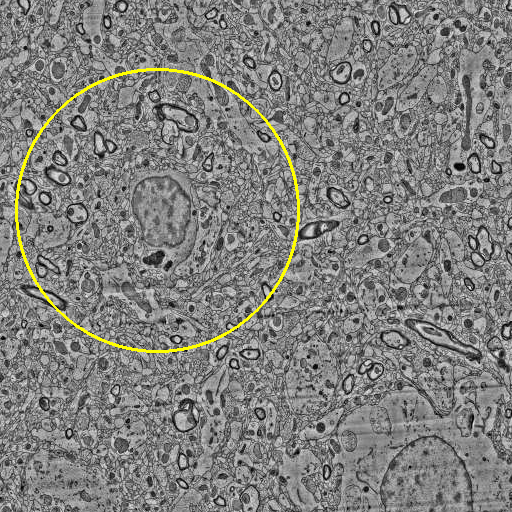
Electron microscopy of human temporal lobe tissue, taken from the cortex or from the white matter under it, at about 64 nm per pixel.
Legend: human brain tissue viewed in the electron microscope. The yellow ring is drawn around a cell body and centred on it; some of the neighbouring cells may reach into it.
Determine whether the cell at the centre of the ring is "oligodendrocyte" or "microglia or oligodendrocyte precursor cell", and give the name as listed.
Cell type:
oligodendrocyte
